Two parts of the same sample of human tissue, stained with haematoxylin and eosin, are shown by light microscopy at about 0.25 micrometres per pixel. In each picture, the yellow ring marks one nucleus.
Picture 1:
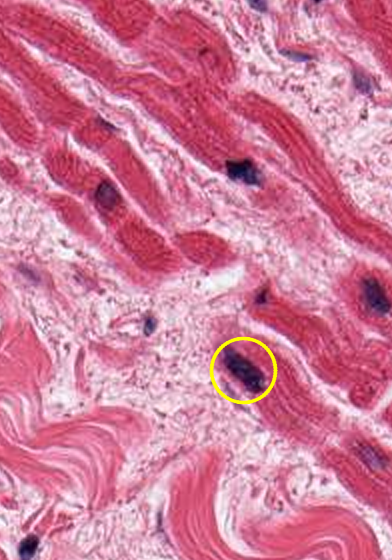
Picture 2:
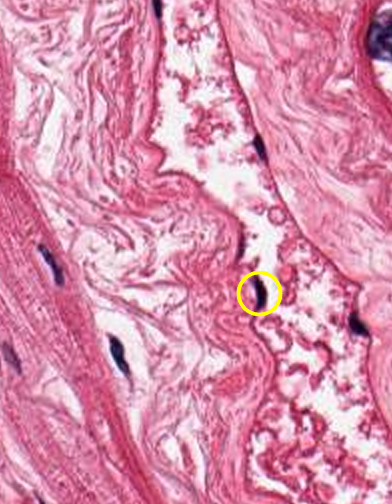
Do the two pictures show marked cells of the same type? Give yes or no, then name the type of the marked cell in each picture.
No, the first is a cardiomyocyte and the second an endothelial cell.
